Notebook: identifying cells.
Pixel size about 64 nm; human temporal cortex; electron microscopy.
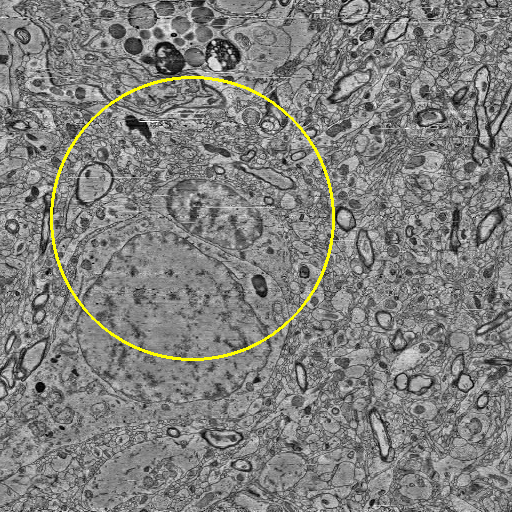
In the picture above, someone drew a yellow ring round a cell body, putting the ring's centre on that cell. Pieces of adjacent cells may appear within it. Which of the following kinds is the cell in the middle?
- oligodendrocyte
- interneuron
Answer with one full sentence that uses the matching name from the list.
In this picture, the yellow ring is centred on the body of an oligodendrocyte.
